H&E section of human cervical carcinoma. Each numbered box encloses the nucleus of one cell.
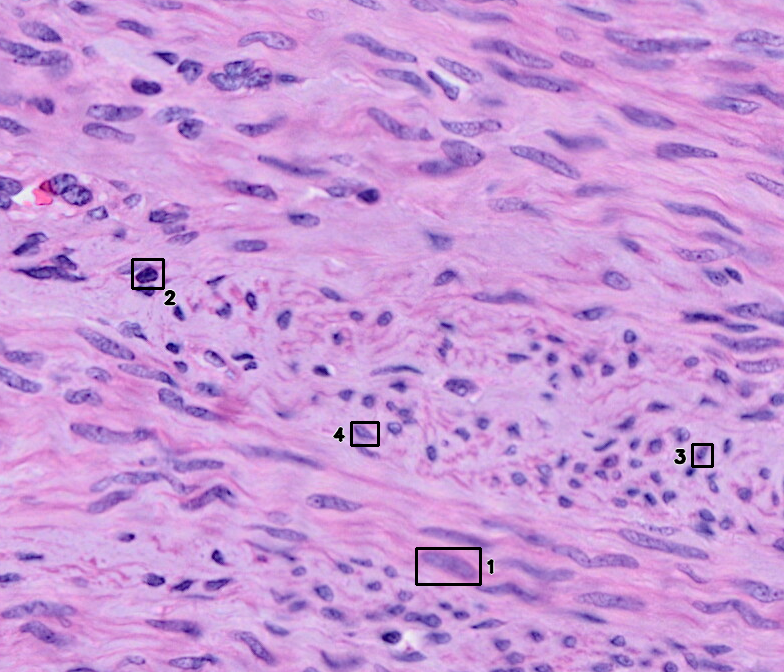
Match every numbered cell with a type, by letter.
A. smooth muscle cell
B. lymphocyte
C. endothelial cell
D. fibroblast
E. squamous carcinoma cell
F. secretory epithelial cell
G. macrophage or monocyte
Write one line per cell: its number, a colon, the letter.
1: A
2: B
3: A
4: A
